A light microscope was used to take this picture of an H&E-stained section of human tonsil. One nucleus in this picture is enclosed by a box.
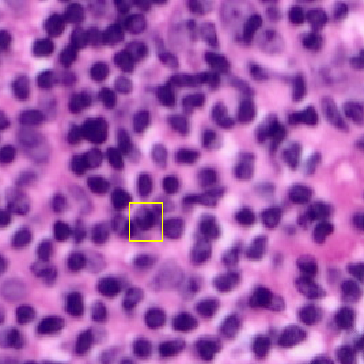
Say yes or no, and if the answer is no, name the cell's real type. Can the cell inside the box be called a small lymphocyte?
Yes.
